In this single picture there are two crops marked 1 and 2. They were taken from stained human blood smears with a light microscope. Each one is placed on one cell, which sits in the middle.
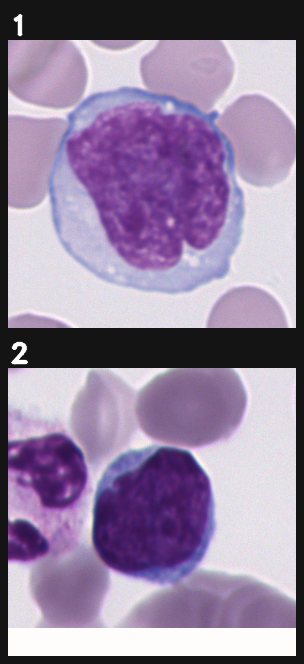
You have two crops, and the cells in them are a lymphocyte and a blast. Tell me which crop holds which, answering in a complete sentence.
The central cell of crop 1 is a blast, and that of crop 2 is a lymphocyte.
